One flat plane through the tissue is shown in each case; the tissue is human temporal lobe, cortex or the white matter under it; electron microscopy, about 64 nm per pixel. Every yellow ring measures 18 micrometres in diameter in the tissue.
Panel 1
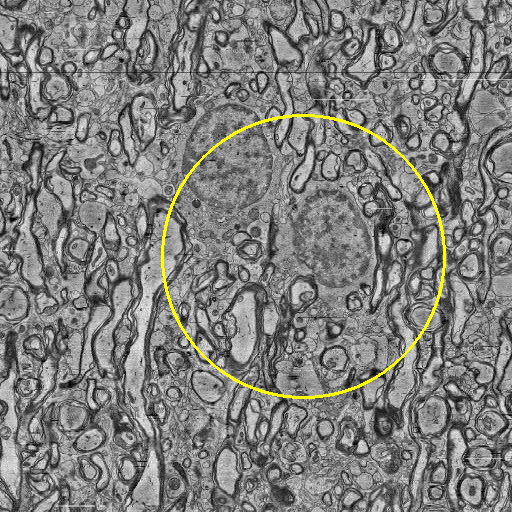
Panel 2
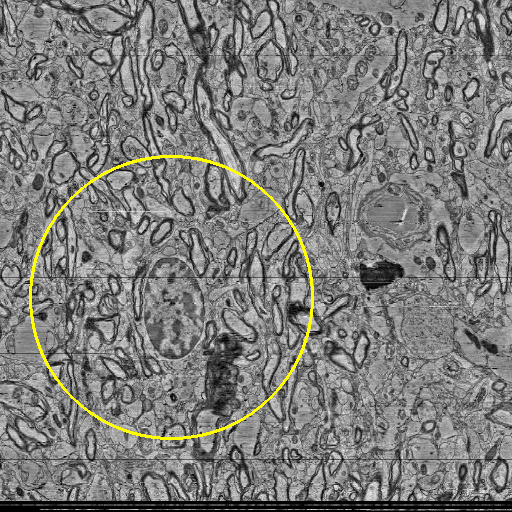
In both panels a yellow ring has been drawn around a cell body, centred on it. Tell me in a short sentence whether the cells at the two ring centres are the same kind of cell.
No, they are two kinds of cell.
